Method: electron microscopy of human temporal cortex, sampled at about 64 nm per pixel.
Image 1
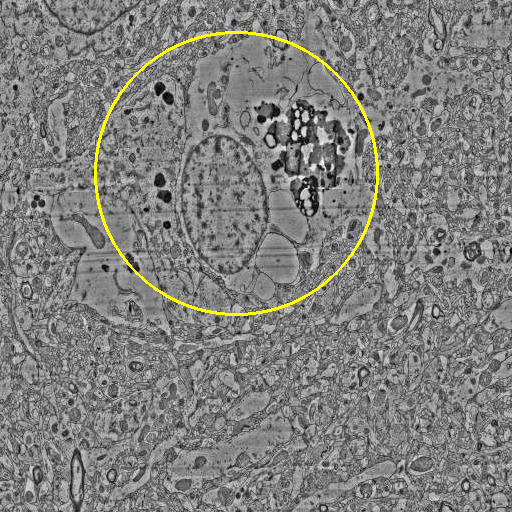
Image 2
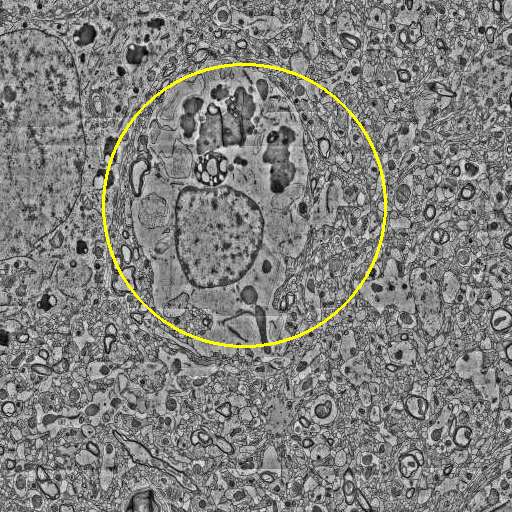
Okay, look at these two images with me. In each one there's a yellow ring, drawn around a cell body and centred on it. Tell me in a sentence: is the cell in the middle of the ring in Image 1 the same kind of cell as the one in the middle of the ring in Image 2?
Yes, they're the same kind of cell.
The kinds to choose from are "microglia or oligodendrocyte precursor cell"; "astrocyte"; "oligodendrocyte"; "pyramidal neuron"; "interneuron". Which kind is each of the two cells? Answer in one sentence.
In each picture the ringed cell is an astrocyte.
